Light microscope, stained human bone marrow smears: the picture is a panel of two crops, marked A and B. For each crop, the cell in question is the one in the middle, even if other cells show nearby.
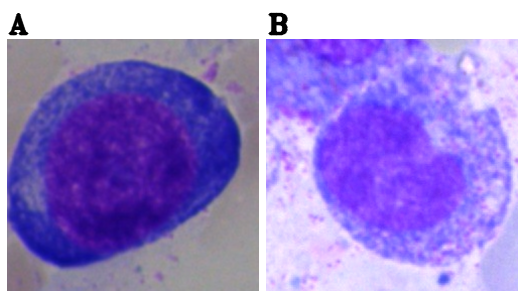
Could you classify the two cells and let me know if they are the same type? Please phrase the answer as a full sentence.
No, crop A has a proerythroblast in the middle, and crop B has a promyelocyte.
